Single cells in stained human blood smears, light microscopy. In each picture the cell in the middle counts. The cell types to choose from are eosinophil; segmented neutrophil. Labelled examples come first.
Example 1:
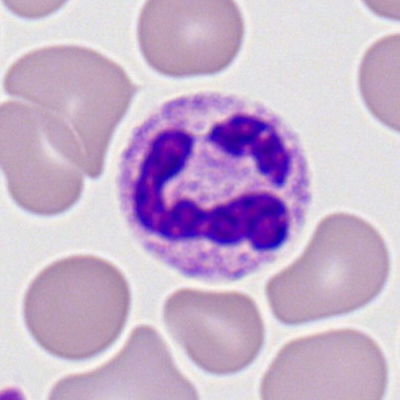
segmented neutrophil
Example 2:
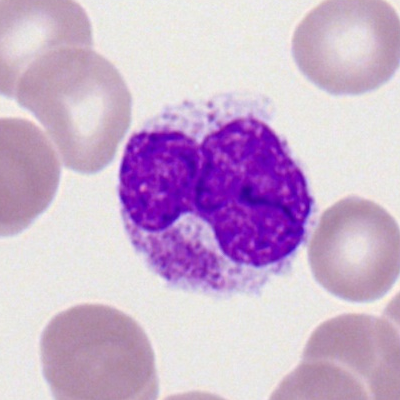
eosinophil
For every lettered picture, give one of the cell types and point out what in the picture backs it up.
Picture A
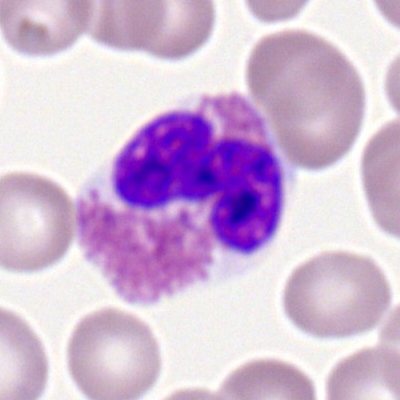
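Answer: eosinophil. The granules are coarse, separate dots rather than fine dust.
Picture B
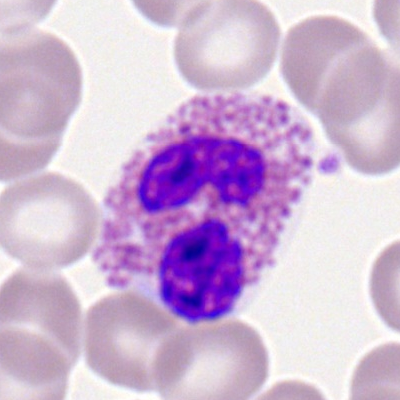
Answer: eosinophil. The granules are coarse and fairly uniform in size.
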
